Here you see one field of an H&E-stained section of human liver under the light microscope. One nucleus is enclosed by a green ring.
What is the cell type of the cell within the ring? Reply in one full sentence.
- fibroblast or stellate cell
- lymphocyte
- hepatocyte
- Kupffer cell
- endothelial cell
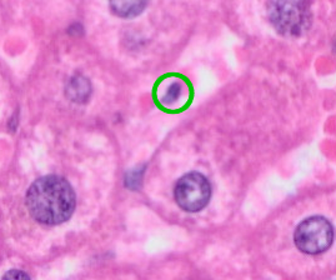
The cell within the ring is a lymphocyte.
